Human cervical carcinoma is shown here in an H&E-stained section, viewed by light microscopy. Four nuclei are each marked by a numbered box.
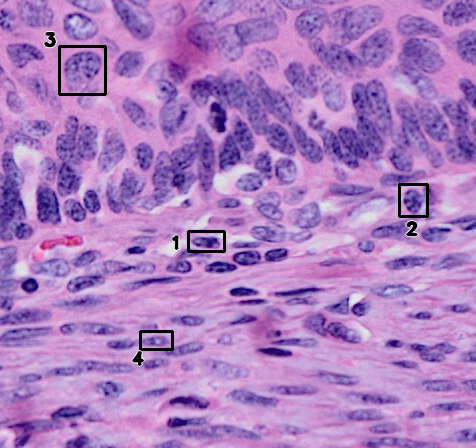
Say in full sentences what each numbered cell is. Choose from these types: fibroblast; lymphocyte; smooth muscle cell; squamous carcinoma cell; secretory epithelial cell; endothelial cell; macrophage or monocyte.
Cells 1 and 2 are lymphocytes. Cell 3 is a squamous carcinoma cell. Cell 4 is a smooth muscle cell.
